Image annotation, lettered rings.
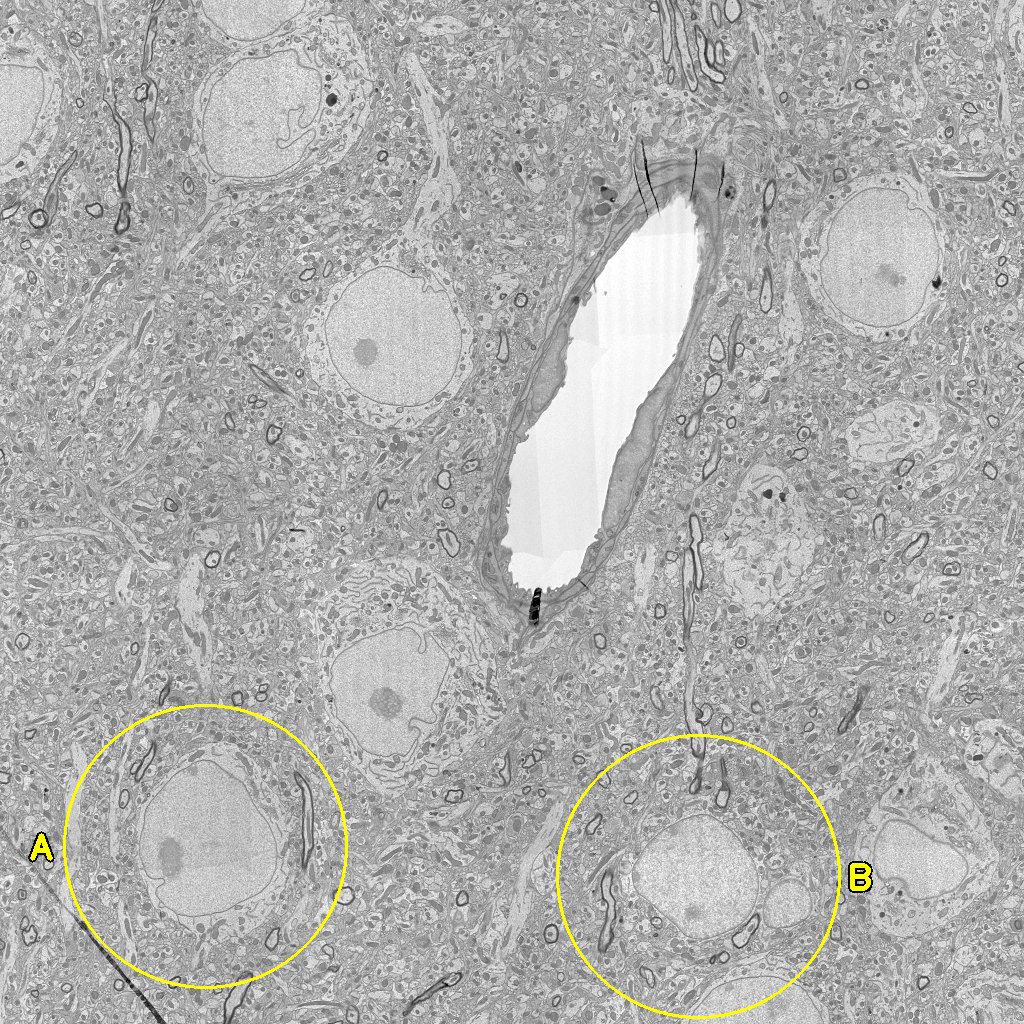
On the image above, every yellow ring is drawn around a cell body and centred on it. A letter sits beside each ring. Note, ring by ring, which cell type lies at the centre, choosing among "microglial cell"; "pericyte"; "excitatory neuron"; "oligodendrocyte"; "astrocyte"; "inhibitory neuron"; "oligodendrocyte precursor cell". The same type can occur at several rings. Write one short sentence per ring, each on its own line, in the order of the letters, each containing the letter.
Ring A has an excitatory neuron at its centre.
Ring B has an astrocyte at its centre.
